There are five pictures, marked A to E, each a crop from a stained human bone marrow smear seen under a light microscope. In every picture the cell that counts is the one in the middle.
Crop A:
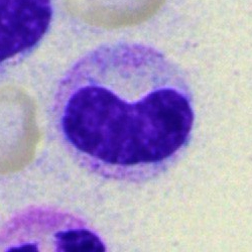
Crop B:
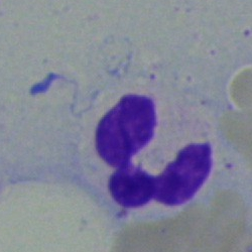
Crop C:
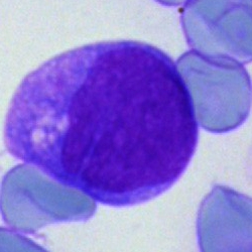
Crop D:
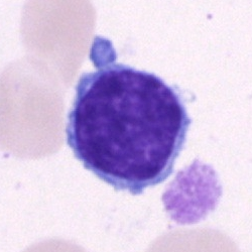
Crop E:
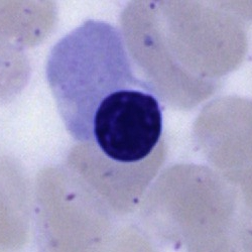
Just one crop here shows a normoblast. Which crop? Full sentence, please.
Crop E is identified as the crop showing a normoblast.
